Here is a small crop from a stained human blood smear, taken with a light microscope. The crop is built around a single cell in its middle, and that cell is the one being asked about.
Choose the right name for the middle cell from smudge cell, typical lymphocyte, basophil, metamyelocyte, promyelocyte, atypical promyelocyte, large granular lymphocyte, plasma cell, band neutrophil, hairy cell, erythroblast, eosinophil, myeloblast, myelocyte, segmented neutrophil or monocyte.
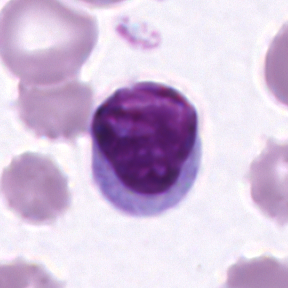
plasma cell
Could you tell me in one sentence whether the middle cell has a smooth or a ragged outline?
Smooth outline, no projections: that is the whole story of its edge.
